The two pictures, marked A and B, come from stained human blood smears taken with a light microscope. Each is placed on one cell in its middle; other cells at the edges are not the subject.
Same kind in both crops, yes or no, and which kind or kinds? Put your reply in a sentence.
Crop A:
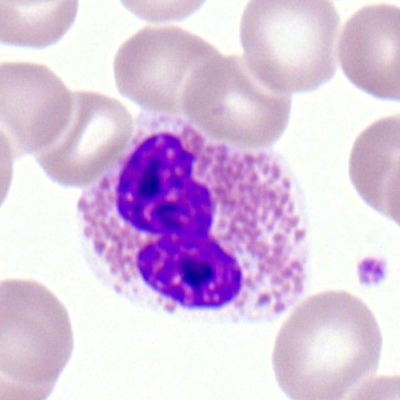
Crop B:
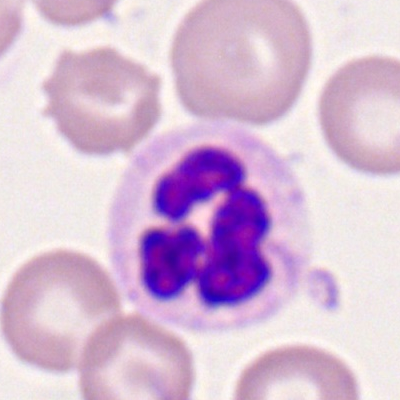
No, an eosinophil is in crop A, and a segmented neutrophil is in crop B.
